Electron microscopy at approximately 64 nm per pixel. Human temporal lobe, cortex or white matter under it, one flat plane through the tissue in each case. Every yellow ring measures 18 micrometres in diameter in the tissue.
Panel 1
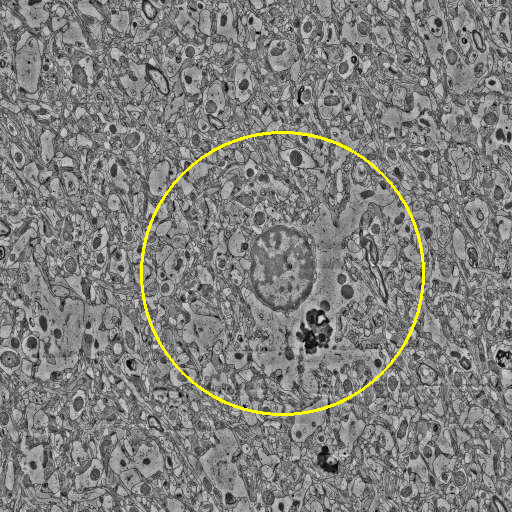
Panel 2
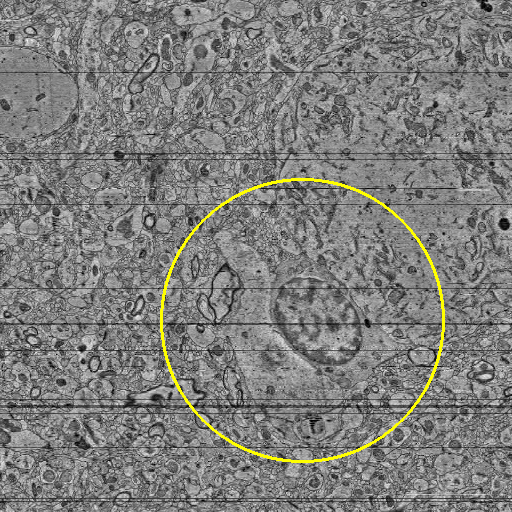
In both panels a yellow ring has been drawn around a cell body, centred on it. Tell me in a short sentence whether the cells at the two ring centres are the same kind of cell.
Yes, they are the same kind of cell.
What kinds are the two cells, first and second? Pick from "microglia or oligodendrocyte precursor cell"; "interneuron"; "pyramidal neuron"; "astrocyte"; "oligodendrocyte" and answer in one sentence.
Both cells are the same kind, each one being an oligodendrocyte.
